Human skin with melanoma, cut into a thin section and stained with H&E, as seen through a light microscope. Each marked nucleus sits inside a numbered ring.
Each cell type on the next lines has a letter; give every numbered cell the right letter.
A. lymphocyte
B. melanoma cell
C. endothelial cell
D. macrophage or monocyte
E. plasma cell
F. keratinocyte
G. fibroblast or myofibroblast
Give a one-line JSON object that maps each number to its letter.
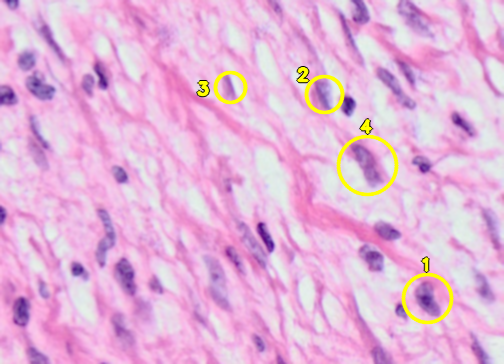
{"1": "D", "2": "G", "3": "G", "4": "G"}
